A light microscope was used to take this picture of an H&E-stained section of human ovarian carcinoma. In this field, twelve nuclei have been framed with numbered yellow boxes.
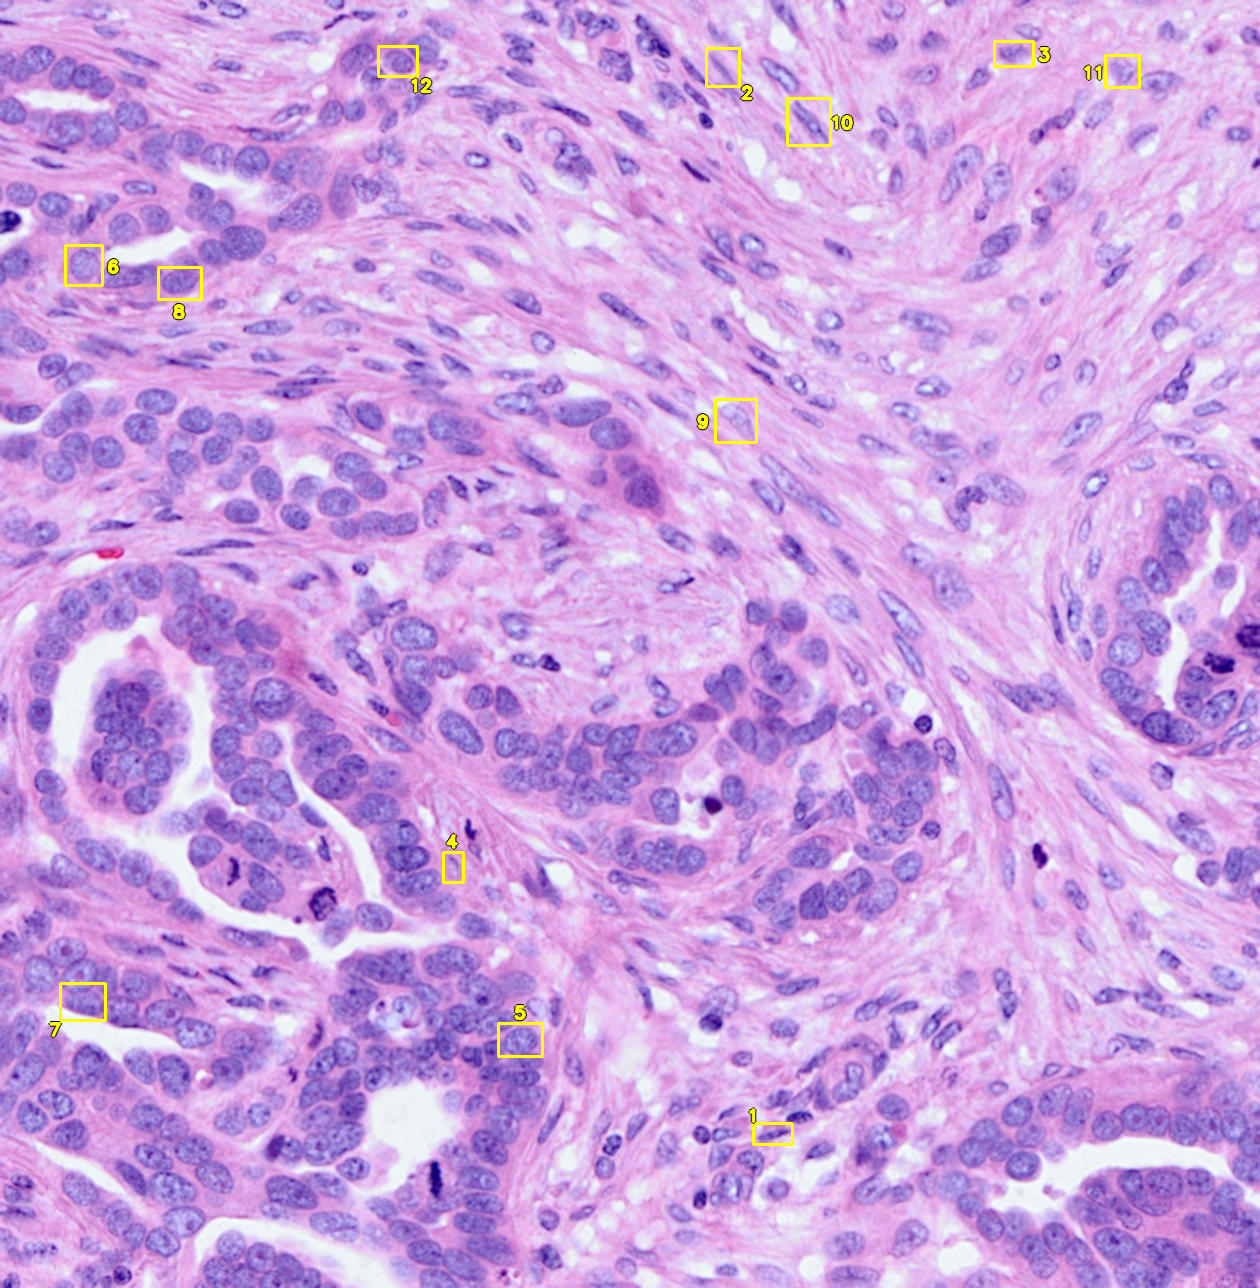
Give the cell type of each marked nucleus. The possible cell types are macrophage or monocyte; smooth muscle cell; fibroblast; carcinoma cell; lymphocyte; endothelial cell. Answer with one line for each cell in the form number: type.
1: fibroblast
2: fibroblast
3: fibroblast
4: fibroblast
5: carcinoma cell
6: carcinoma cell
7: carcinoma cell
8: carcinoma cell
9: fibroblast
10: fibroblast
11: fibroblast
12: carcinoma cell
